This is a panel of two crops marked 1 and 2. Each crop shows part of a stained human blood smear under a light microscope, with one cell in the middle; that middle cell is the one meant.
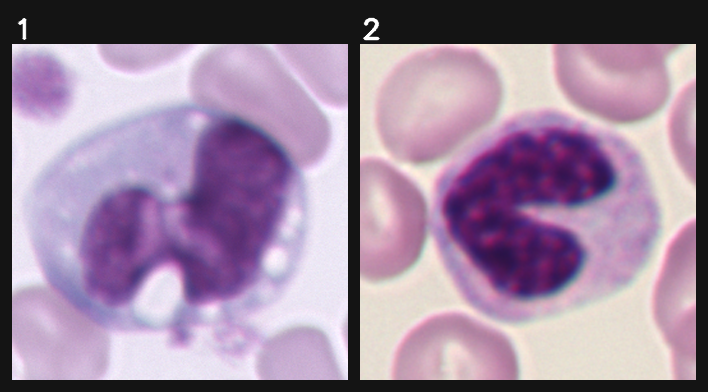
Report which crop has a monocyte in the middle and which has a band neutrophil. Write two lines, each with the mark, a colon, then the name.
1: monocyte
2: band neutrophil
